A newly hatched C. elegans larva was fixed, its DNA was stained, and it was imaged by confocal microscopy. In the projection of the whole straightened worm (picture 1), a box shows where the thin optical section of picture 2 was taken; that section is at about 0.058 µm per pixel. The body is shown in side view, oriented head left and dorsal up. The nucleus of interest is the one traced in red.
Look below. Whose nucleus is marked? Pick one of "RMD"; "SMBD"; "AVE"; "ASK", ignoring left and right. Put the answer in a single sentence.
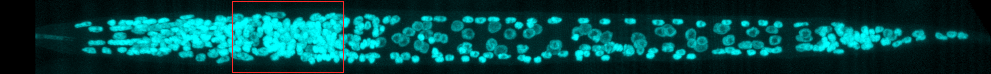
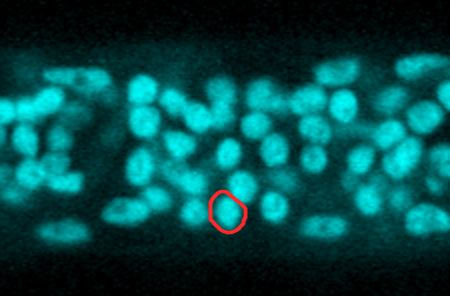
The marked nucleus belongs to SMBD, a neuron.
